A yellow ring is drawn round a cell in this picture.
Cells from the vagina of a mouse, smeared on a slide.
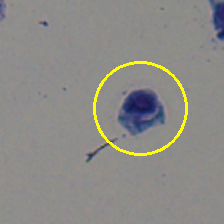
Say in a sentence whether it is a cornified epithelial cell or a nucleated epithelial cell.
The cell in the ring is a nucleated epithelial cell.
